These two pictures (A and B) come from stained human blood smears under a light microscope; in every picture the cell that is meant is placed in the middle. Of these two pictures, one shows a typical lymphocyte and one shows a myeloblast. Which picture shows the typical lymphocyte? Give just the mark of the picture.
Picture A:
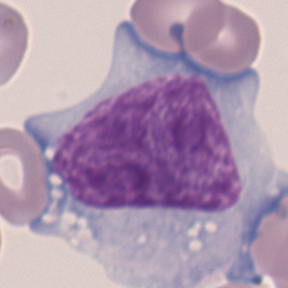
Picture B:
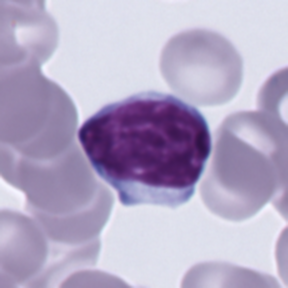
B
